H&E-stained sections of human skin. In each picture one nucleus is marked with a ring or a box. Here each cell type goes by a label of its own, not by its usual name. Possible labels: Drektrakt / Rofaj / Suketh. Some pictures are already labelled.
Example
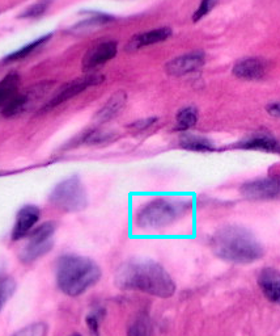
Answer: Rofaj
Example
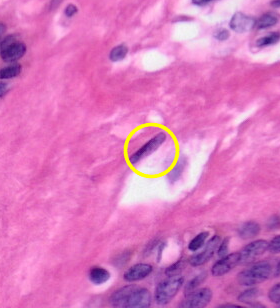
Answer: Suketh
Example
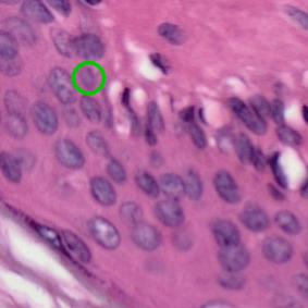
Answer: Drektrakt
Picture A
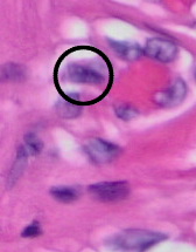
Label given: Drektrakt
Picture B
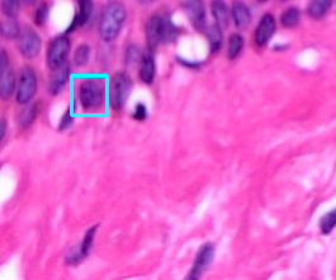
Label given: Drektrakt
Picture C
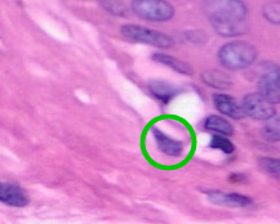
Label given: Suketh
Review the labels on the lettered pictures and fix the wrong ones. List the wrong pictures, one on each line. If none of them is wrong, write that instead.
A should be Rofaj, not Drektrakt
